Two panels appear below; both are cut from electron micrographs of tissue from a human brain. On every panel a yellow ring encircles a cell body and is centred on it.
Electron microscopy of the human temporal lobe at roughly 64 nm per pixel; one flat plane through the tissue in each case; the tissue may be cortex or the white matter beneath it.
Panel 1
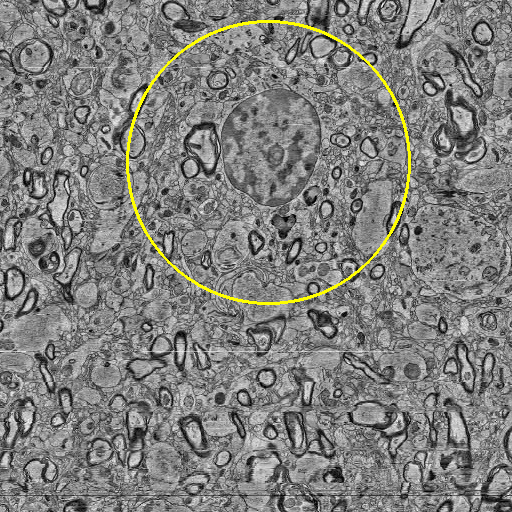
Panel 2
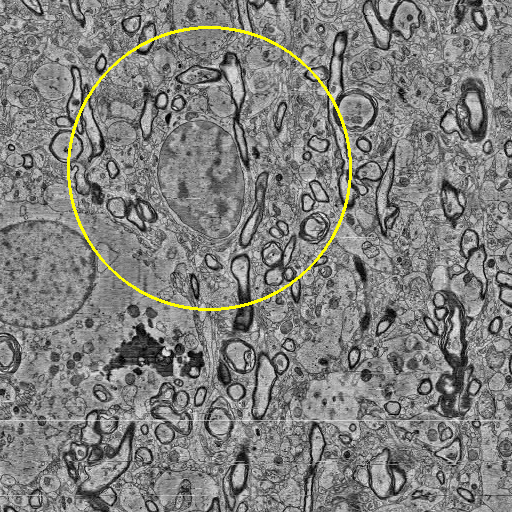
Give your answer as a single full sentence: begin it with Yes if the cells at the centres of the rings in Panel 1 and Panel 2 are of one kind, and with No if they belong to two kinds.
Yes, the cells in the middle of the rings in Panels 1 and 2 are of one kind.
